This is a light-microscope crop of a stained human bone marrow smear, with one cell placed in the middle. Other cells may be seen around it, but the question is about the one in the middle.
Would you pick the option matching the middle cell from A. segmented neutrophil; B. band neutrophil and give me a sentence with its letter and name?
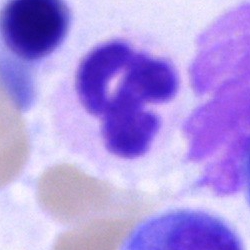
Identified correctly by option A, the cell in the middle is a segmented neutrophil.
